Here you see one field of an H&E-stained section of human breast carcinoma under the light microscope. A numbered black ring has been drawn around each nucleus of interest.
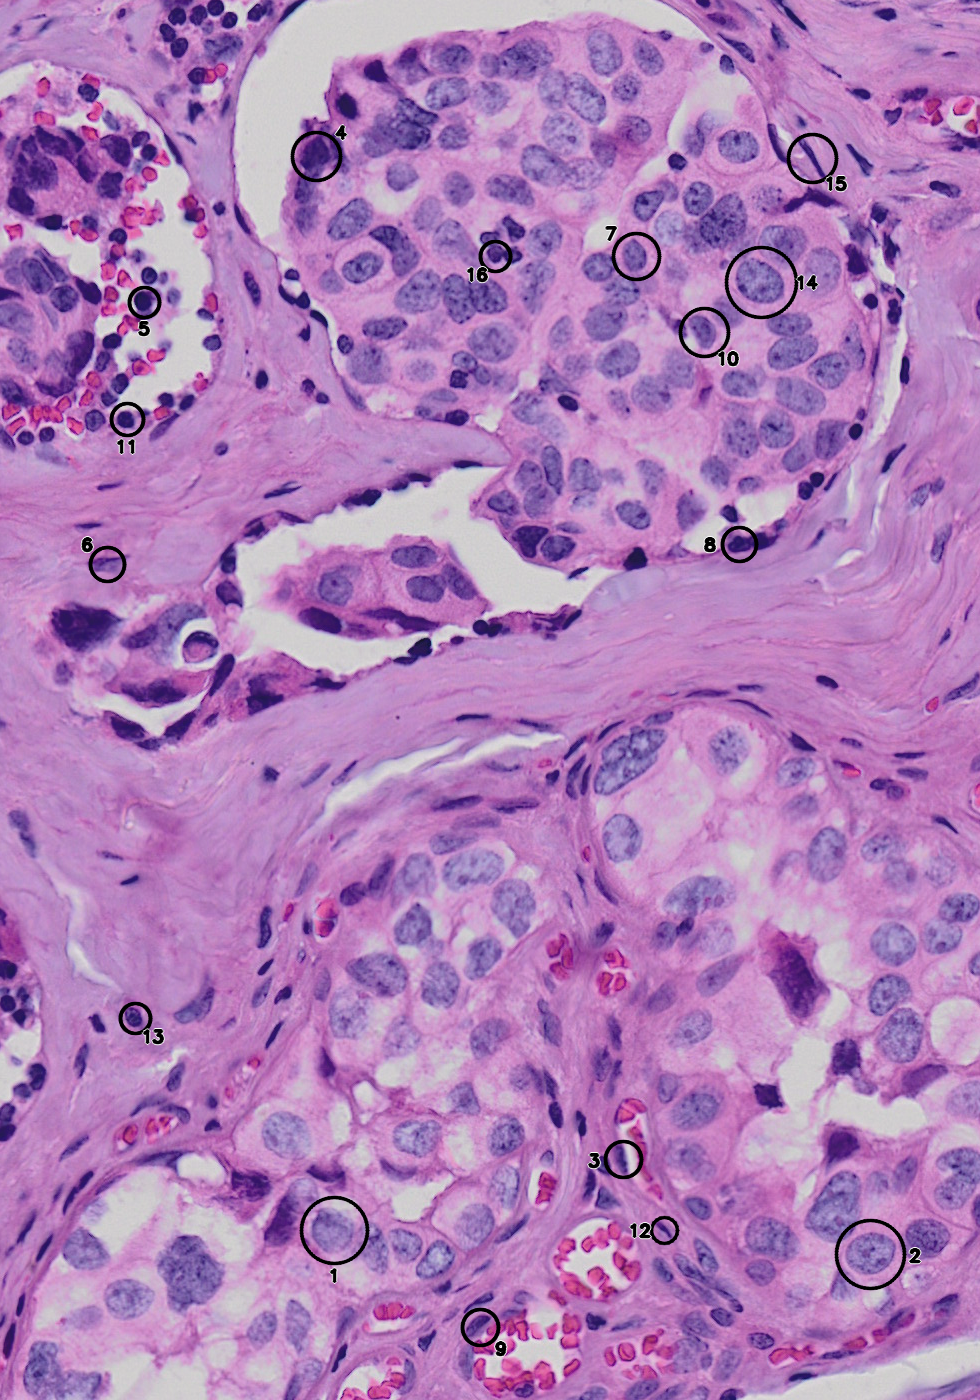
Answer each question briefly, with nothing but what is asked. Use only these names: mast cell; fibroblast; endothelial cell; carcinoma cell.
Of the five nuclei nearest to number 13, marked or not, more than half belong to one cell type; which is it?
fibroblast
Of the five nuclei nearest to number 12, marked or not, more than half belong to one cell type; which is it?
fibroblast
